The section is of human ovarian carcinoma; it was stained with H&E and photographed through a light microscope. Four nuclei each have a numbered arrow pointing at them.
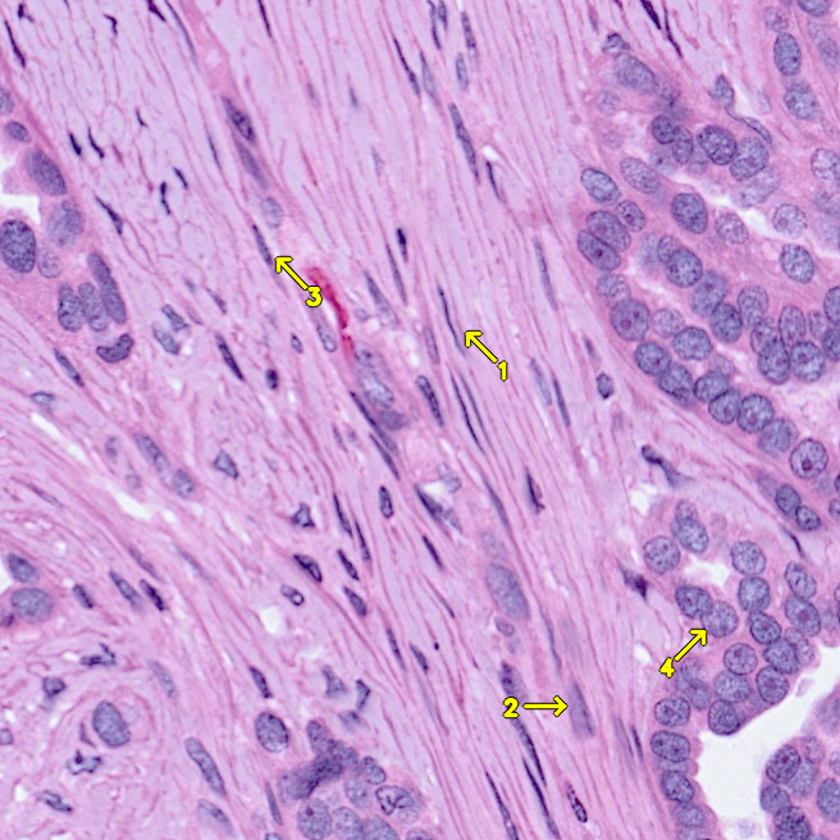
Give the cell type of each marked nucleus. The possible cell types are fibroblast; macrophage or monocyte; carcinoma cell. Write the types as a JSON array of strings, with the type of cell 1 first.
["fibroblast", "fibroblast", "fibroblast", "carcinoma cell"]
